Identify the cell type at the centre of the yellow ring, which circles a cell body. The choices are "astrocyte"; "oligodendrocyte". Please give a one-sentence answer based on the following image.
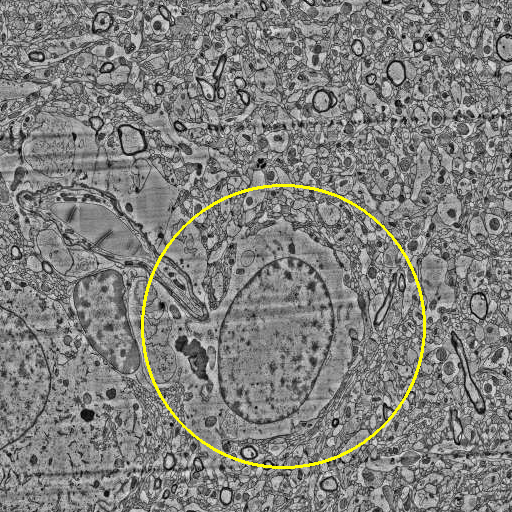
The cell marked by the ring is an astrocyte.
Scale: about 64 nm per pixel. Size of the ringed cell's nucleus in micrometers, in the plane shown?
About 11 by 7 micrometres; in this plane the nucleus is clearly longer than it is wide.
